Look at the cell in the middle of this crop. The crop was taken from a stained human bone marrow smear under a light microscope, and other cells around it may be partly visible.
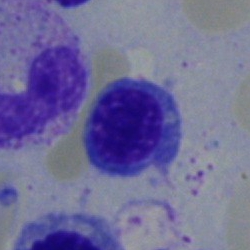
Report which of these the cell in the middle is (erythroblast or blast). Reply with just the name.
erythroblast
